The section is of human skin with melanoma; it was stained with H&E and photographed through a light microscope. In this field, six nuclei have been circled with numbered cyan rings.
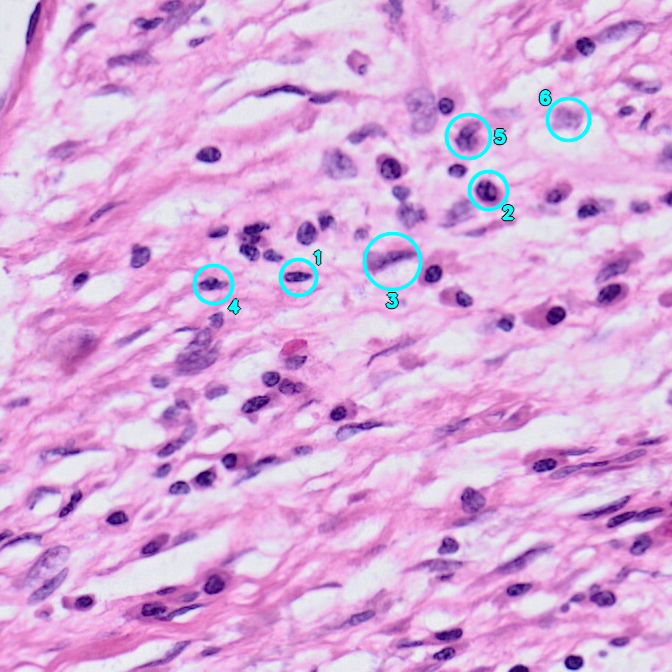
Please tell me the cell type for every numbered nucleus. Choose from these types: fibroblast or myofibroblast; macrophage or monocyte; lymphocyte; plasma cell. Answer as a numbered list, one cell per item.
1. lymphocyte
2. plasma cell
3. fibroblast or myofibroblast
4. lymphocyte
5. macrophage or monocyte
6. fibroblast or myofibroblast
